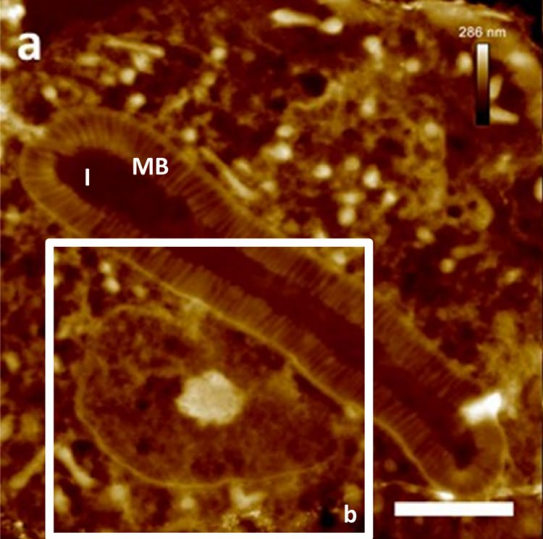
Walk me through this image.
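Intestinal cells line a long, narrow lumen that runs diagonally across the field, its surface edged on both sides by a regular palisade of fine parallel microvilli. Beside the lumen lies the nucleus of one of these cells, outlined by a thin rim and holding a bright central nucleolus, while the surrounding cytoplasm is granular with many small bright bodies.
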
